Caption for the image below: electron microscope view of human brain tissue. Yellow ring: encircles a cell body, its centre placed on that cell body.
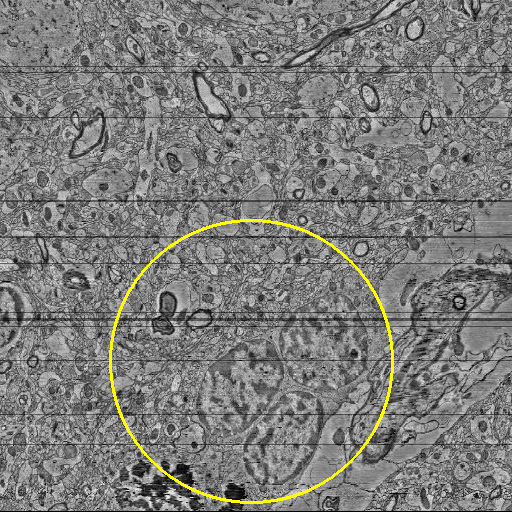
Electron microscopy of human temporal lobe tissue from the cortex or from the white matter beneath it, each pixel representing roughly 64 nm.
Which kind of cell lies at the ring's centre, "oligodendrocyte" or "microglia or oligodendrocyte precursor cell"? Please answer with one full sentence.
The picture shows an oligodendrocyte at the centre of the yellow ring.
